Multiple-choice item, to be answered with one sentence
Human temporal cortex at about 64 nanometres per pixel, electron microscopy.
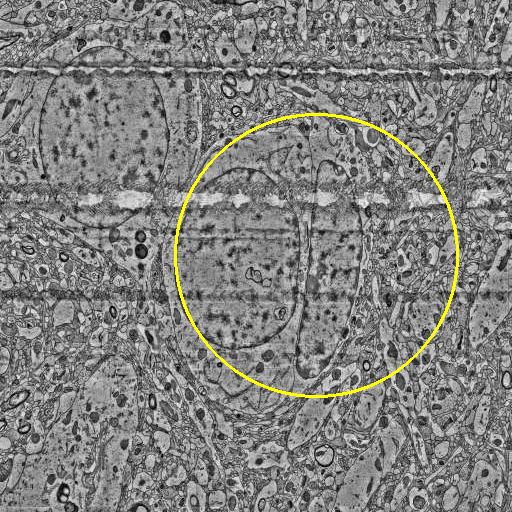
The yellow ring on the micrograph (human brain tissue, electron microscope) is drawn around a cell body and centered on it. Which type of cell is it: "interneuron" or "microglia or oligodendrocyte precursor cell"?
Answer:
The ring is centered on a microglial cell or oligodendrocyte precursor cell.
